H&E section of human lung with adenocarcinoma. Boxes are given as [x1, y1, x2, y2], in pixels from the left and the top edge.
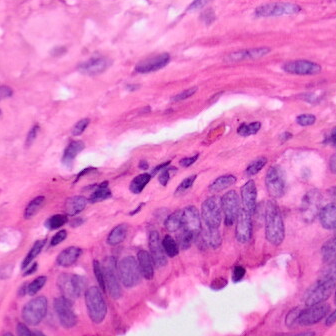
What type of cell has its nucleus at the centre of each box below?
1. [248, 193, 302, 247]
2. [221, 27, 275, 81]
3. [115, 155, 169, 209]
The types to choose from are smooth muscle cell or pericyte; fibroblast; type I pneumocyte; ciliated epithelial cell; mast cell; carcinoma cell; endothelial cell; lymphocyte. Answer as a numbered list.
1. ciliated epithelial cell
2. smooth muscle cell or pericyte
3. lymphocyte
